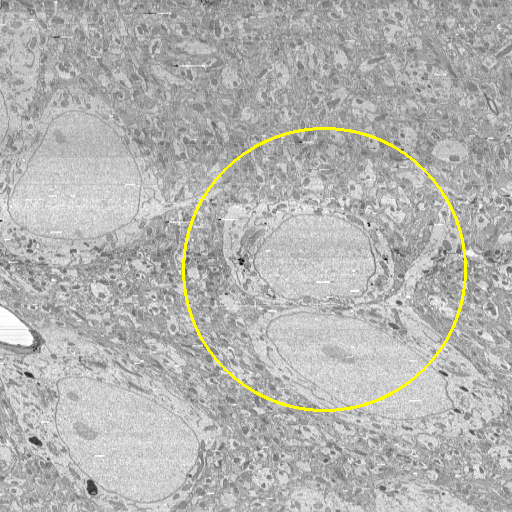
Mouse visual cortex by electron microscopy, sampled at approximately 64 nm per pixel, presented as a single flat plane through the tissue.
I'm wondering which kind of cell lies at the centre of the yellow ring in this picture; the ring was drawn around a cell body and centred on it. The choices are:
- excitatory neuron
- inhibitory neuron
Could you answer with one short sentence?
At the centre of the ring lies an inhibitory neuron.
